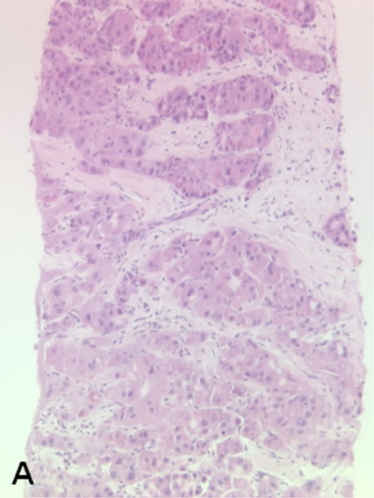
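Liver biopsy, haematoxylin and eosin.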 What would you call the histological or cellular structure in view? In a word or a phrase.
Lamellar fibrous stroma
